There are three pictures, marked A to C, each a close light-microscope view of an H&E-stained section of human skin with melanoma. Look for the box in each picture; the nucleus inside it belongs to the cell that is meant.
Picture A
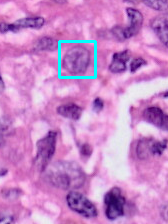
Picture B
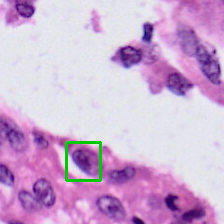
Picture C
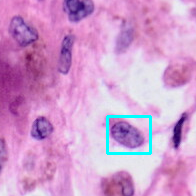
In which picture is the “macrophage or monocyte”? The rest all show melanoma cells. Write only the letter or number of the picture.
C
